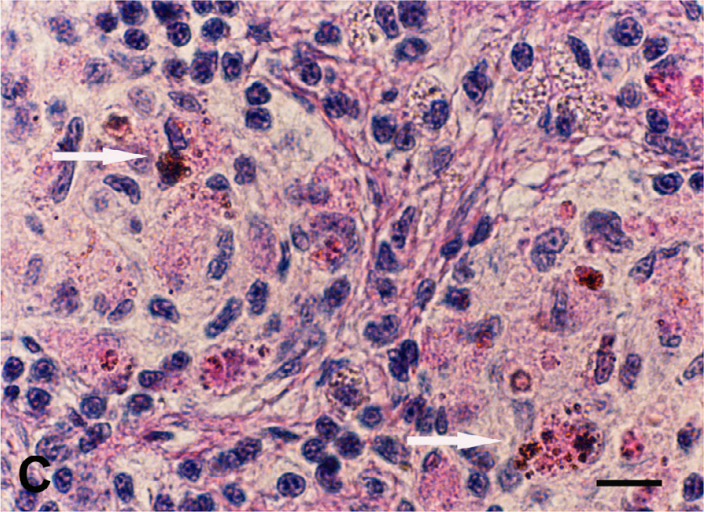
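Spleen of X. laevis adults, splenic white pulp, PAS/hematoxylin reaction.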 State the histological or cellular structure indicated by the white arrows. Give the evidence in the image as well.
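Melanomacrophage centers. The arrows point at large cells packed with dark brown to black granules. These pigmented cells lie among small round cells with dark nuclei.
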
